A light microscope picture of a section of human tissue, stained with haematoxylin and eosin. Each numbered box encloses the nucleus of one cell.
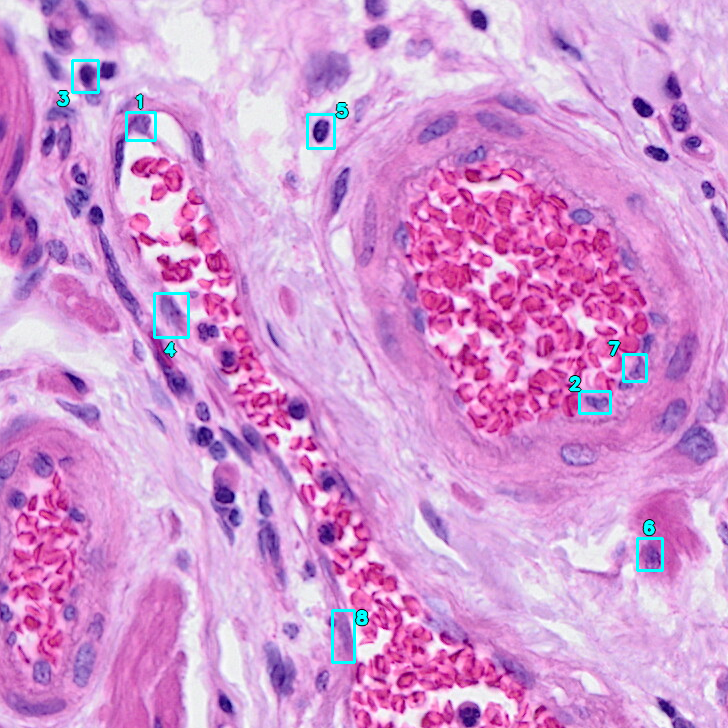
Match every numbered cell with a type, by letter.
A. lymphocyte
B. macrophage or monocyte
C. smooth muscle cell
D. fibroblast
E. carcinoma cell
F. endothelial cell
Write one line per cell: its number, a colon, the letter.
1: F
2: F
3: A
4: F
5: A
6: C
7: F
8: F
